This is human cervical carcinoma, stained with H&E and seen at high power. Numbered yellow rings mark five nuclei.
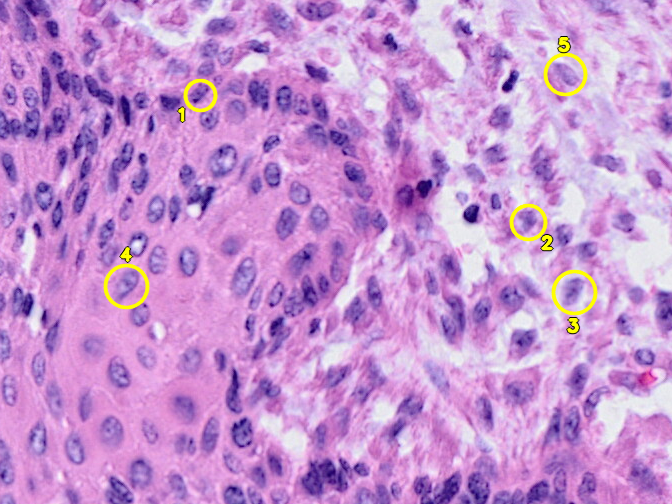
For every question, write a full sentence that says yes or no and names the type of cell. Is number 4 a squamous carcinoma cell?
Yes, the cell with number 4 is a squamous carcinoma cell.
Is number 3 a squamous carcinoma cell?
No, cell 3 does not represent a squamous carcinoma cell; it represents a fibroblast.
